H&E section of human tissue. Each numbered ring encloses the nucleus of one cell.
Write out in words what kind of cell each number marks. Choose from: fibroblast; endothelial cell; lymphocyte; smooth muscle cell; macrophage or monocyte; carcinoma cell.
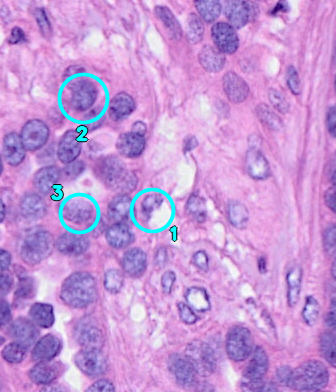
Cell 1 is a fibroblast. Cells 2 and 3 are carcinoma cells.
